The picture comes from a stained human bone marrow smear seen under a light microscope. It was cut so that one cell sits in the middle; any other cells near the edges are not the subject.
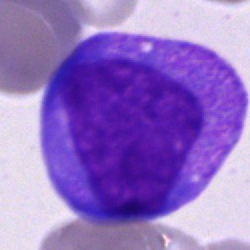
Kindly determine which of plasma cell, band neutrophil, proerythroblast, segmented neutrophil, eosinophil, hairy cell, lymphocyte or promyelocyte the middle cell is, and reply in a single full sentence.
The cell in the exact centre of the crop is a promyelocyte.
